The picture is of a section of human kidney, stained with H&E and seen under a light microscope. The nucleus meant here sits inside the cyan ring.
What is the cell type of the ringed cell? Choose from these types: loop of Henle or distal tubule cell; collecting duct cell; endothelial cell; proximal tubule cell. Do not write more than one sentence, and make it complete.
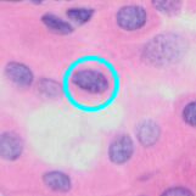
In cell-type terms, the ringed cell is a loop of Henle or distal tubule cell.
